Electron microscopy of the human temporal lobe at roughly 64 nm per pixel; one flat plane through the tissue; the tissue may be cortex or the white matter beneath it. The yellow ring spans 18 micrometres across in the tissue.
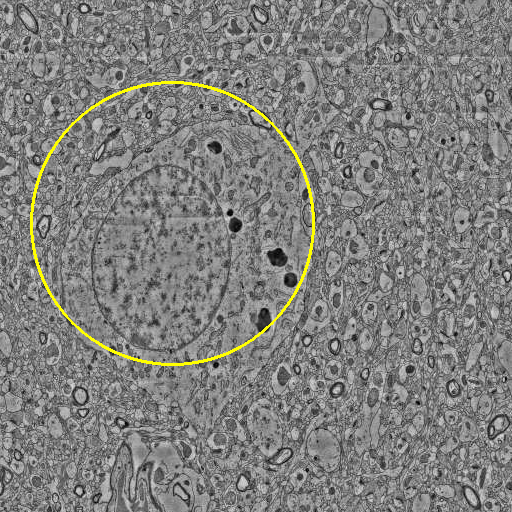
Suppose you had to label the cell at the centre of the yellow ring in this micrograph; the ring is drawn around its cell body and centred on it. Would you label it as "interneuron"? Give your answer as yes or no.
Yes, I would label it that way.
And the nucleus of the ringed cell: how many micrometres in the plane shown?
About 12 micrometres by about 9 micrometres in this plane.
